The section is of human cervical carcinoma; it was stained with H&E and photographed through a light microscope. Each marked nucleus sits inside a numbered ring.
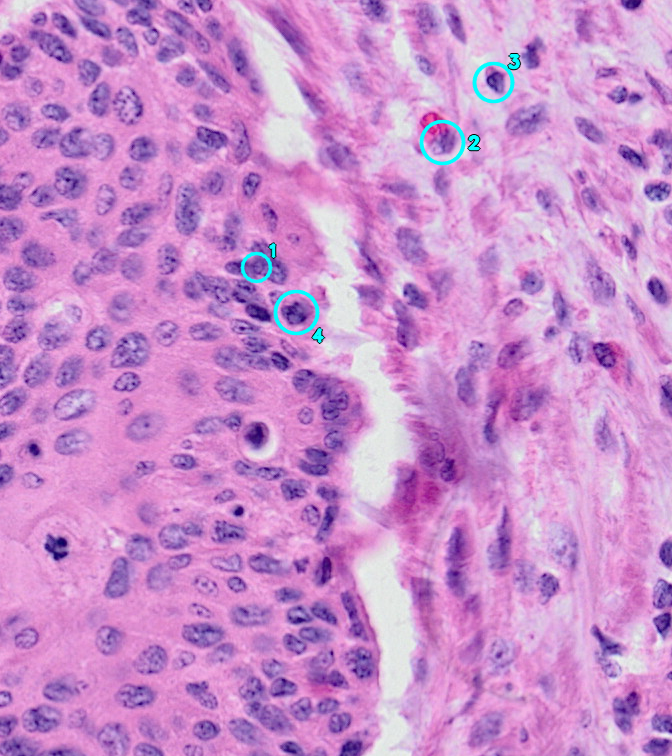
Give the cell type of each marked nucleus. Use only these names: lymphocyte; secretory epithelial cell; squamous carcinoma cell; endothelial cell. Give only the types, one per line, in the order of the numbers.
squamous carcinoma cell
endothelial cell
lymphocyte
squamous carcinoma cell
